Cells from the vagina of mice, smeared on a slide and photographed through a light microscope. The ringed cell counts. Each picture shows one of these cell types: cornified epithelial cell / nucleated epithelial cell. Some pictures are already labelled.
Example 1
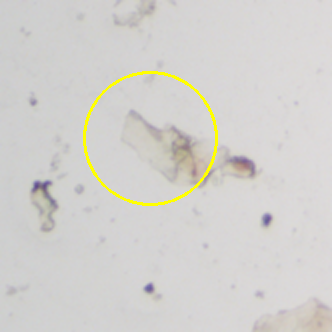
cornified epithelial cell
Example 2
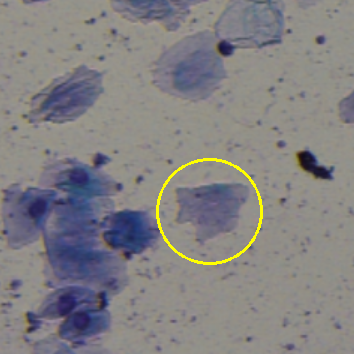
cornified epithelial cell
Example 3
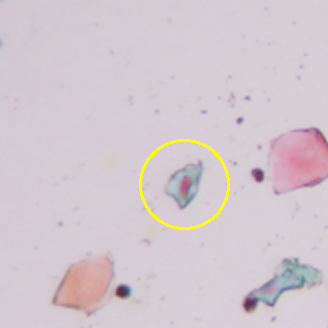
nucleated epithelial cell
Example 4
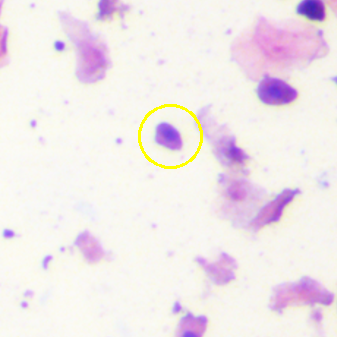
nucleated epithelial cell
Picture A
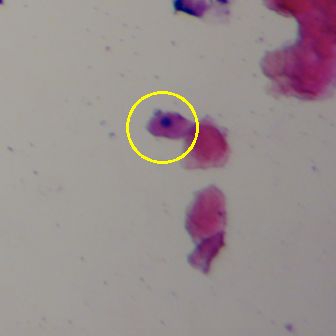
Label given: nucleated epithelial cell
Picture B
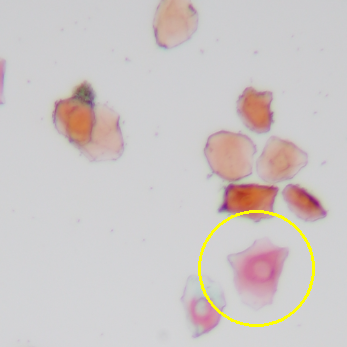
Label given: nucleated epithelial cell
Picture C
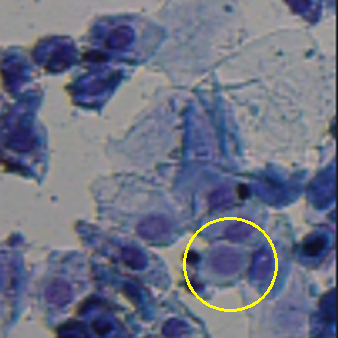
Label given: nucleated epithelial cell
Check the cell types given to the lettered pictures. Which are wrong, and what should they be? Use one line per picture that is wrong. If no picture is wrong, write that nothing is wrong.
Every label is right.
